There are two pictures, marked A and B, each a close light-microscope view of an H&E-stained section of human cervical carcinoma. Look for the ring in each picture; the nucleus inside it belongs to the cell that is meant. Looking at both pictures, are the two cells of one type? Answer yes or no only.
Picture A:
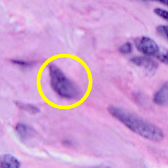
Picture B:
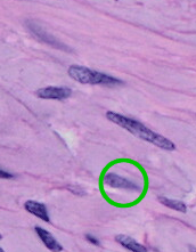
yes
